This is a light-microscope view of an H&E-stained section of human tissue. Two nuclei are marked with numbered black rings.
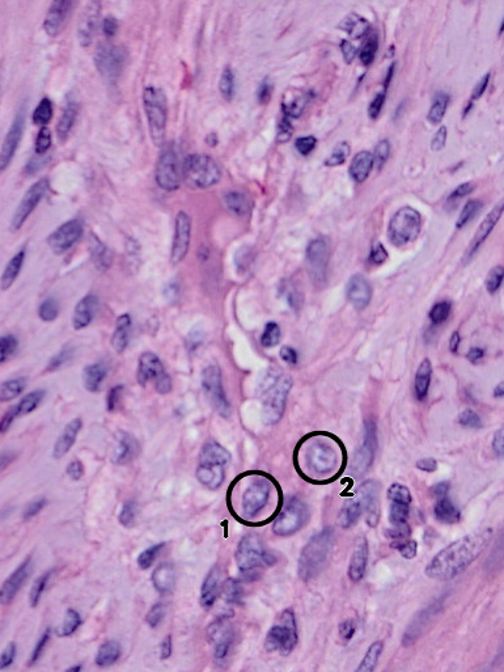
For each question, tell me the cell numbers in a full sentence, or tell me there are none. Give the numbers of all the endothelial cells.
Mind that only cell 1 is an endothelial cell, none of the rest.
